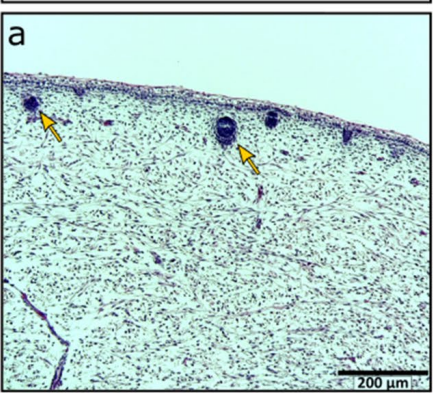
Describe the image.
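The epidermis is a narrow dark purple line a few cells thick along the surface. Just under it lie small round dark purple clusters of densely packed cells, the hair follicles, one showing a concentric ring arrangement. A thin vessel crosses the lower left corner.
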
